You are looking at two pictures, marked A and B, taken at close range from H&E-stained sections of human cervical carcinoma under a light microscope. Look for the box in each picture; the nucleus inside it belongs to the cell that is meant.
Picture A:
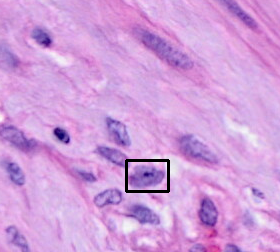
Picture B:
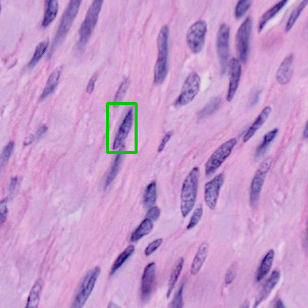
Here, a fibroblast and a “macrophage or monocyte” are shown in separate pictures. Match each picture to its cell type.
A: macrophage or monocyte
B: fibroblast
